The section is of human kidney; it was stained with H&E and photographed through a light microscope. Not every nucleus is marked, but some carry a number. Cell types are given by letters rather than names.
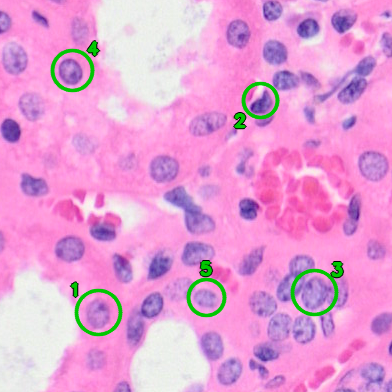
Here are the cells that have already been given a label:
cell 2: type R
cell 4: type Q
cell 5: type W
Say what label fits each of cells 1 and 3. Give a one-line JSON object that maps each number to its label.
{"1": "type Q", "3": "type W"}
